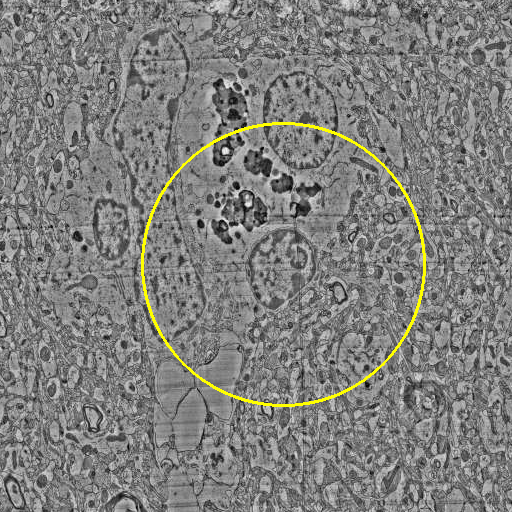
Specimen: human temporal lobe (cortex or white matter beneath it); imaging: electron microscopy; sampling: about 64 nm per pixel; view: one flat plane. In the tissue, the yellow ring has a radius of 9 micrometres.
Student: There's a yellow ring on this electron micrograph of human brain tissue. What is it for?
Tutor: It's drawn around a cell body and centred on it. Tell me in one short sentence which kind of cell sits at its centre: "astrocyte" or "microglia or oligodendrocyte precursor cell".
The cell at the centre of the ring is a microglial cell or oligodendrocyte precursor cell.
